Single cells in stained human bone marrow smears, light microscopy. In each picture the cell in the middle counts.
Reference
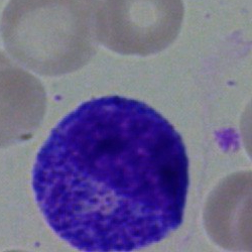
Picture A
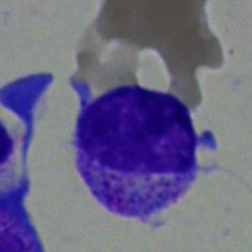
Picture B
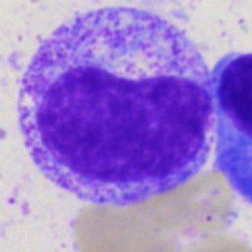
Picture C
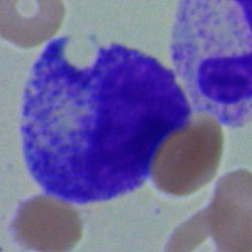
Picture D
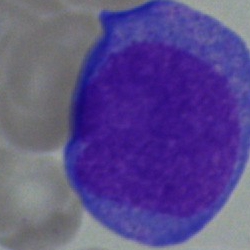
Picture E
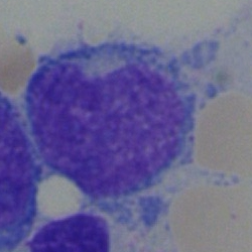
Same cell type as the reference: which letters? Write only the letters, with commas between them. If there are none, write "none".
A, B, C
